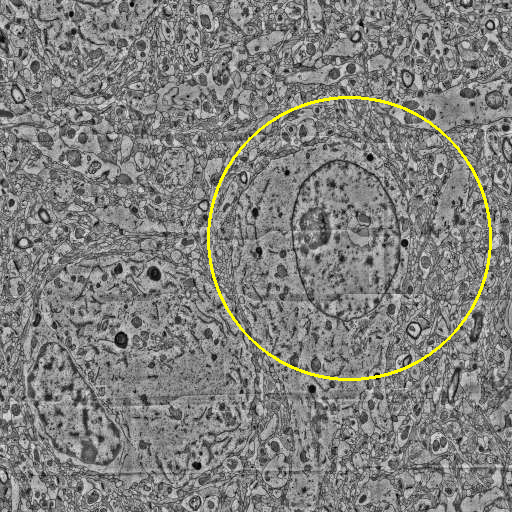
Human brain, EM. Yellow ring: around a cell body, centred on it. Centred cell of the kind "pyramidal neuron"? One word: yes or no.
yes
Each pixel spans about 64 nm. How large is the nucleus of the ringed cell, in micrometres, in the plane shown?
The ringed cell's nucleus is about 10 micrometres long and 7 micrometres wide in this plane.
